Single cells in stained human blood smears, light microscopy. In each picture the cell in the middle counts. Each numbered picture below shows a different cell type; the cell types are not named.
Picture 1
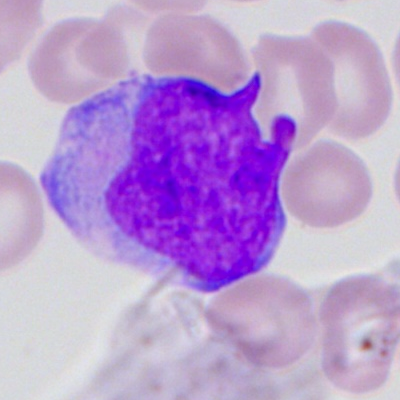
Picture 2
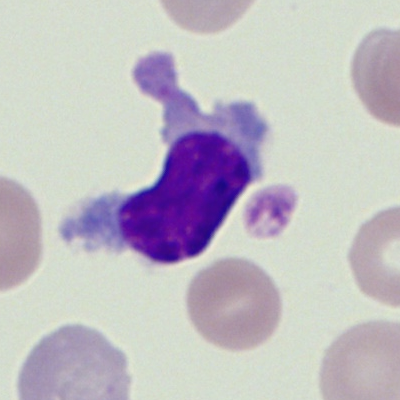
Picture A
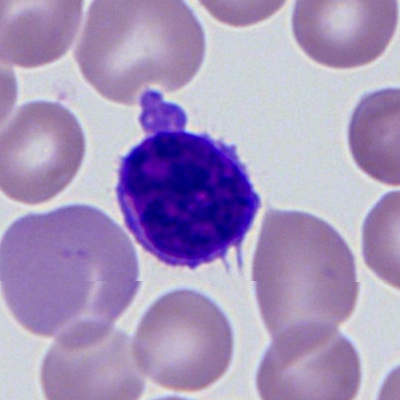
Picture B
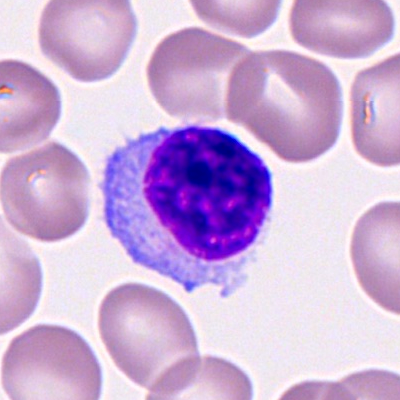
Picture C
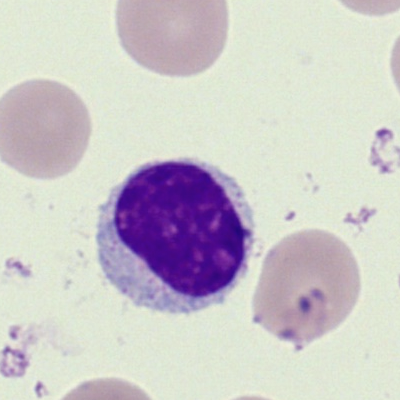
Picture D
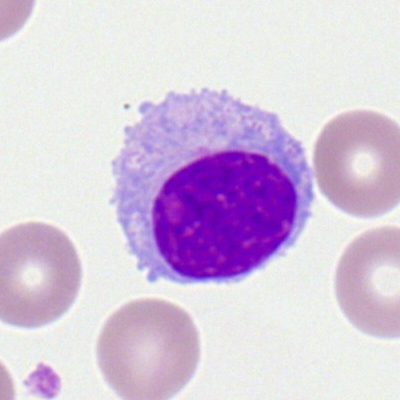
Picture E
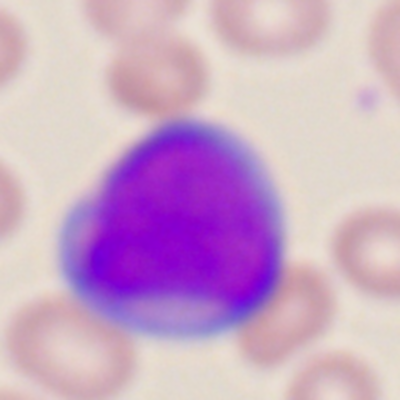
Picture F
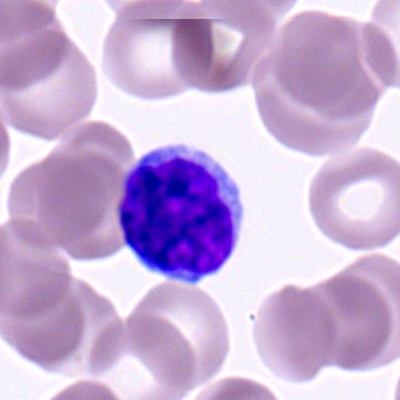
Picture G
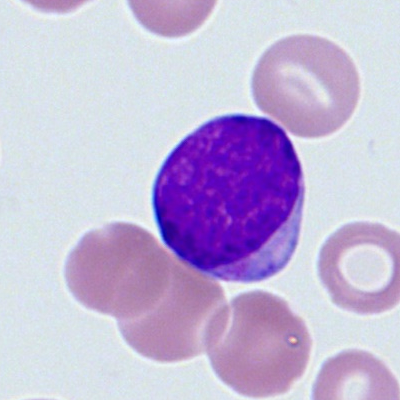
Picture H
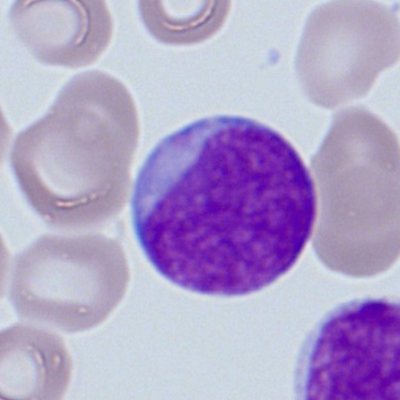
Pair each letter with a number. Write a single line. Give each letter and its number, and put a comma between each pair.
A 2, B 2, C 2, D 2, E 1, F 2, G 1, H 1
